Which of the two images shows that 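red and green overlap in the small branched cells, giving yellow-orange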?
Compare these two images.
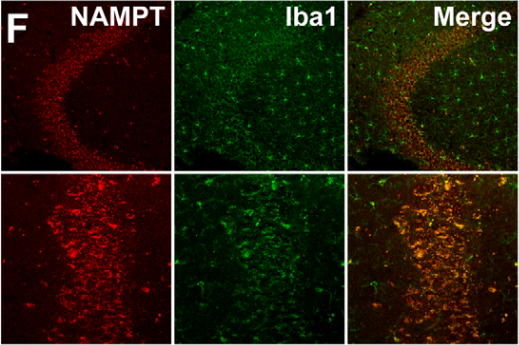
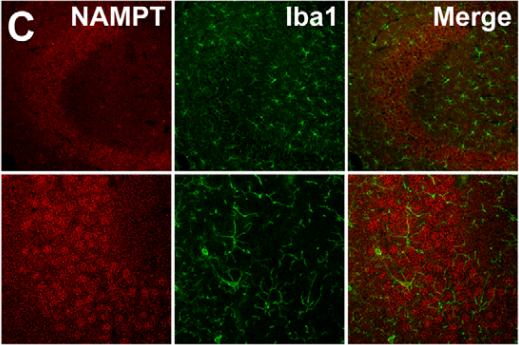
The first image.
